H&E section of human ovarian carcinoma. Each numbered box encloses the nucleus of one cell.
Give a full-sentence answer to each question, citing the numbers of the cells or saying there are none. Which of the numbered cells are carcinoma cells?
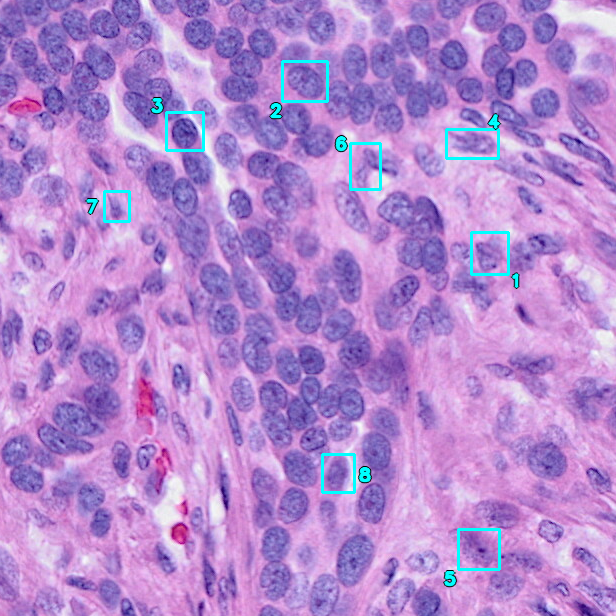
Identification: the cells with numbers 2, 3 and 8 are carcinoma cells.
